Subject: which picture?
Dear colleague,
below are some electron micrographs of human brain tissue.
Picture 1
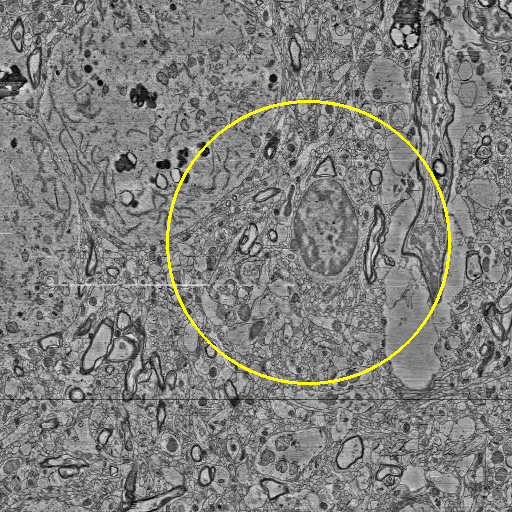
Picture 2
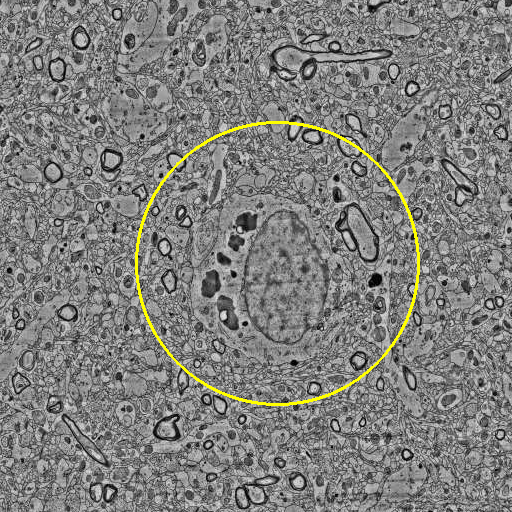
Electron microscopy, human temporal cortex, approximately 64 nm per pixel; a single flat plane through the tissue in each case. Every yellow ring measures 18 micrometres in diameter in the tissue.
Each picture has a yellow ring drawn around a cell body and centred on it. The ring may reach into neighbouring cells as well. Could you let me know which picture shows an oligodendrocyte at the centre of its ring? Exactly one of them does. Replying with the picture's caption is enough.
Picture 1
